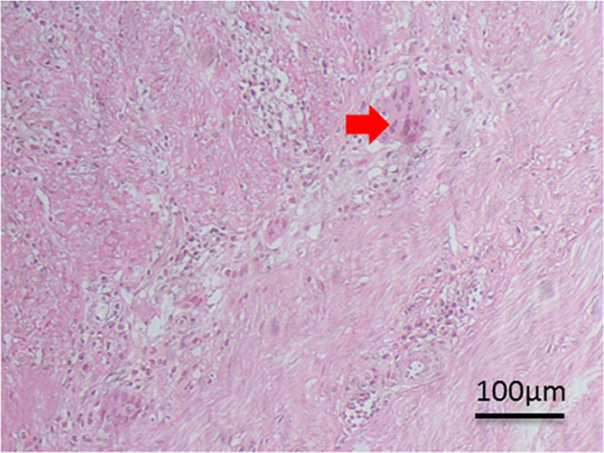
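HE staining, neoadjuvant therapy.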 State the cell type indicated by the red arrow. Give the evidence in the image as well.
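Residual tumor cells. The arrow points to a small cluster of purple-staining cells. The cluster lies within a broad field of pale pink fibrous tissue.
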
